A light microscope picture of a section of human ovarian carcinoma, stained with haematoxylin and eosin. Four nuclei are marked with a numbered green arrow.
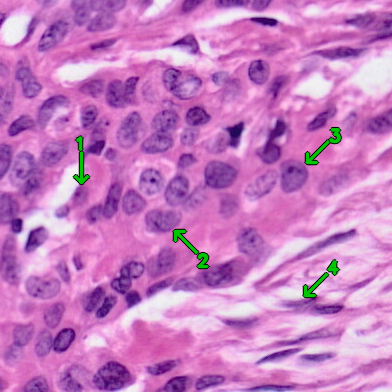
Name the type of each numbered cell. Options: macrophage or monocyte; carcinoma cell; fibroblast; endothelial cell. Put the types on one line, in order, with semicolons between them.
carcinoma cell; carcinoma cell; carcinoma cell; fibroblast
